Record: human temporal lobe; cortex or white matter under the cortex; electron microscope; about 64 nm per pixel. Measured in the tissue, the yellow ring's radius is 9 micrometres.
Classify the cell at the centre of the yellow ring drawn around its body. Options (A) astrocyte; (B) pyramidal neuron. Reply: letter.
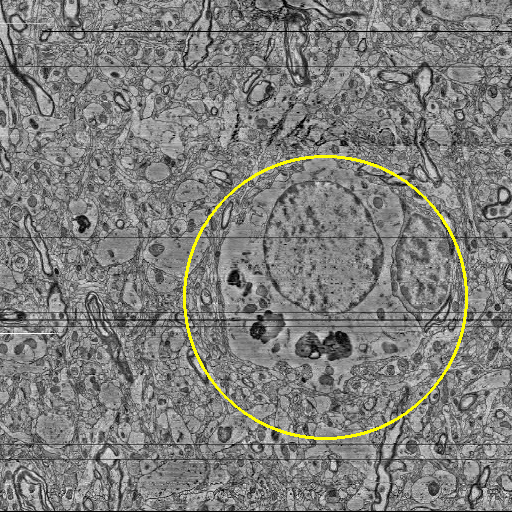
A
